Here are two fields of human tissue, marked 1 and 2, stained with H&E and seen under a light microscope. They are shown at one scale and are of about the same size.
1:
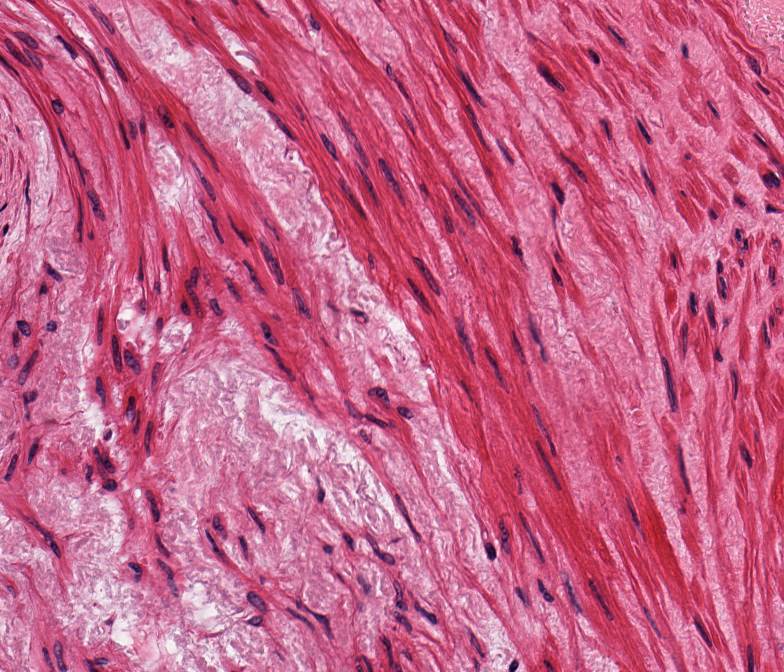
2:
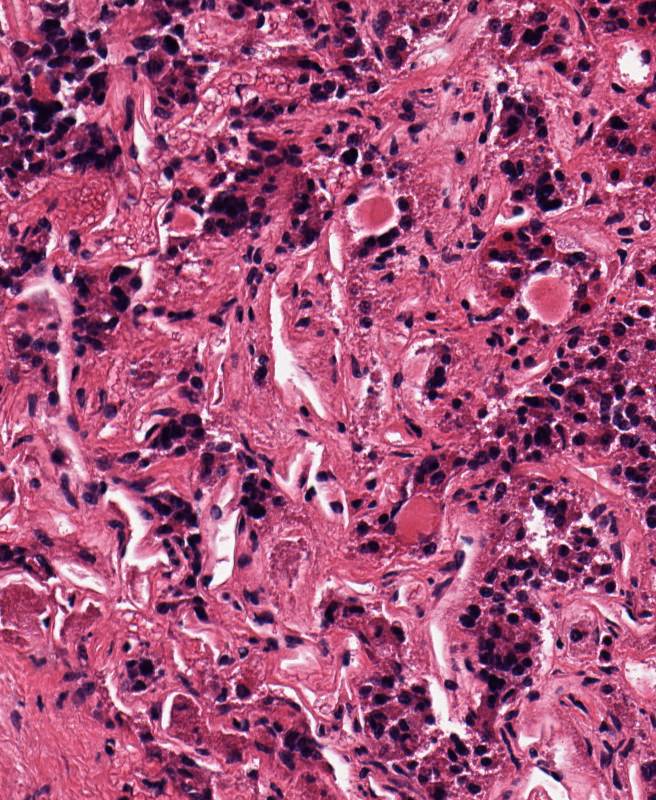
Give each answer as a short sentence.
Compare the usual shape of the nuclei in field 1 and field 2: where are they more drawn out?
On the whole the nuclei of field 1 are more drawn out than those of field 2.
